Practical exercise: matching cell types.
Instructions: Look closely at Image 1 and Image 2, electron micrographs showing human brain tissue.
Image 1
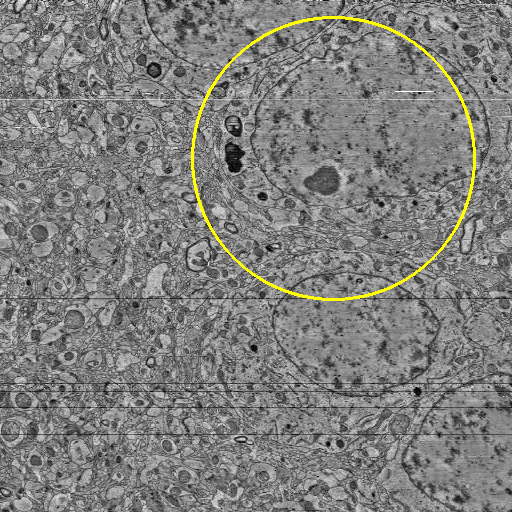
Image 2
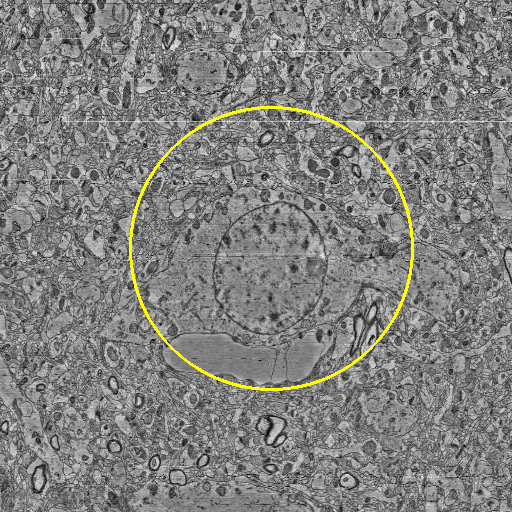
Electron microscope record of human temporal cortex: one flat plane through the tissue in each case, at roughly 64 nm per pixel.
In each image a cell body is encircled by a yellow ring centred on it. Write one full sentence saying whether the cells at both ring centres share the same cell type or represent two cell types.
Across Image 1 and Image 2, the cells at the ring centres share the same cell type.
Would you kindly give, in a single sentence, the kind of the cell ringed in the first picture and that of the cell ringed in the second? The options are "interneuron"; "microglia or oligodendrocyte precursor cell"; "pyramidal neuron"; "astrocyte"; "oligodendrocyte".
Each of the two pictures has a pyramidal neuron at the ring centre.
